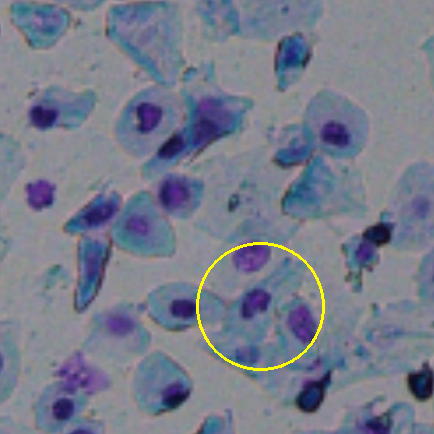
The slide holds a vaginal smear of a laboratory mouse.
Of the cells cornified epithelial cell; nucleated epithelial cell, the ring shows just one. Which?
The ring shows a nucleated epithelial cell.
